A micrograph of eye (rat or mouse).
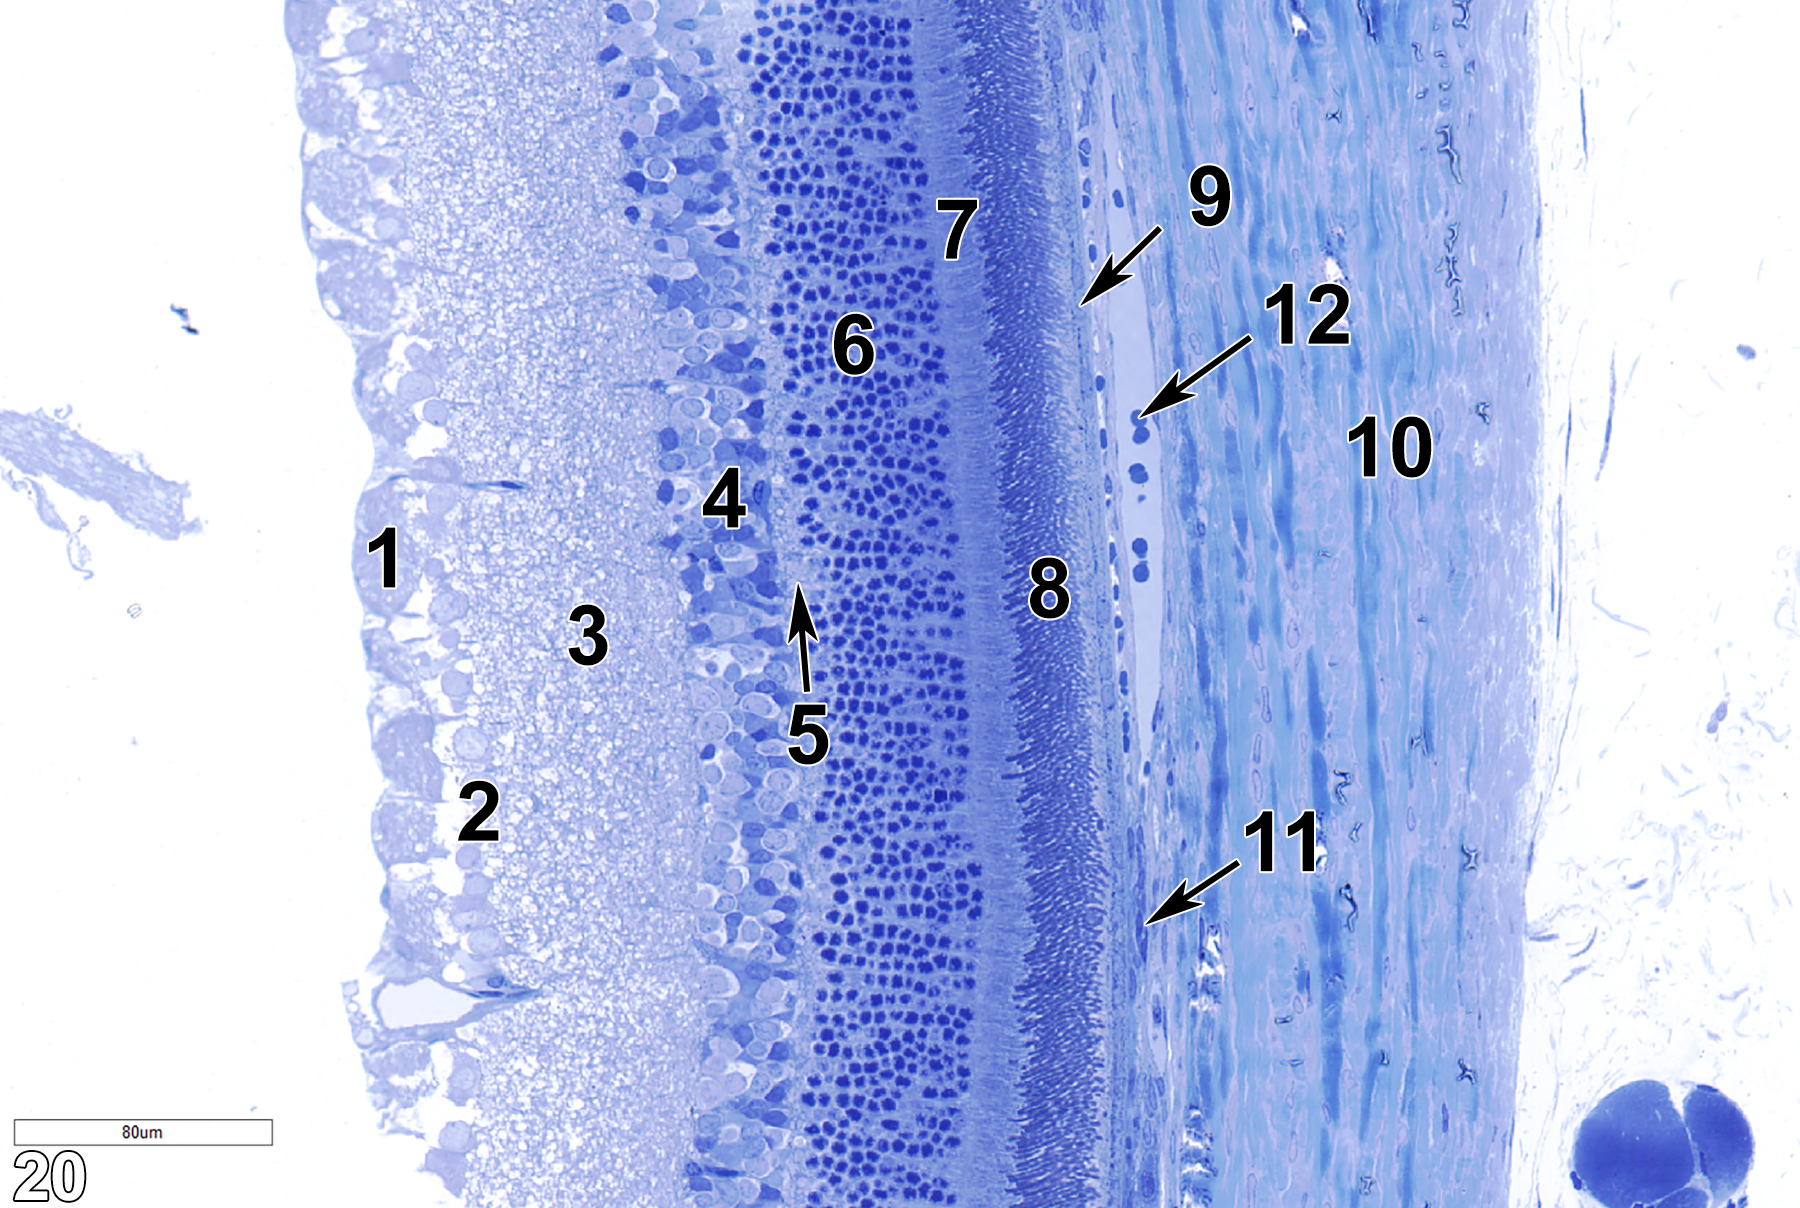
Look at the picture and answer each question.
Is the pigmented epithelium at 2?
No. The ganglion cell layer.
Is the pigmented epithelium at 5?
No: the outer plexiform layer.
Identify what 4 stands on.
At 4: inner nuclear layer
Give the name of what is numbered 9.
The number 9 marks the pigmented epithelium.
